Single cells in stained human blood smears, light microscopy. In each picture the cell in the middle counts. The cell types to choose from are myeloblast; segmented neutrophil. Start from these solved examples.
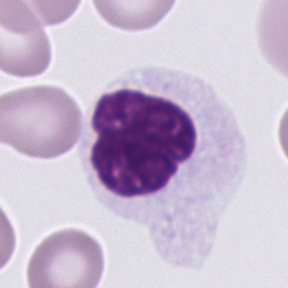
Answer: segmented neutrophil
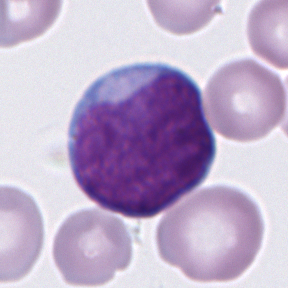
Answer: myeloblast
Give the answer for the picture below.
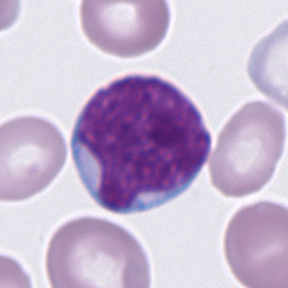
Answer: myeloblast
